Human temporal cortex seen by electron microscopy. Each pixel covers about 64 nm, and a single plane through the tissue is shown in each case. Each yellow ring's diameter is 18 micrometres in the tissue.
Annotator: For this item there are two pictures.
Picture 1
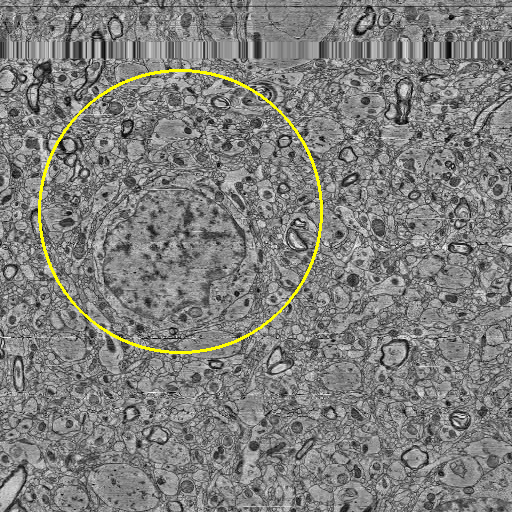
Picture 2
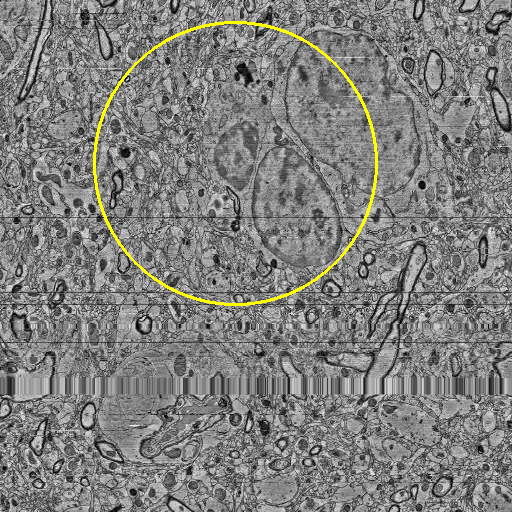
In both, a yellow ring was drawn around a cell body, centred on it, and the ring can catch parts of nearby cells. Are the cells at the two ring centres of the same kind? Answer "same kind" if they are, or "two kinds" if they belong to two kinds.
two kinds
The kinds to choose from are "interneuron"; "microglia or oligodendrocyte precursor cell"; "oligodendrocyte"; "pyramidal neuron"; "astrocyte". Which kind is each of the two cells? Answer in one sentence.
Of the two, the first cell is an interneuron and the second cell is an oligodendrocyte.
